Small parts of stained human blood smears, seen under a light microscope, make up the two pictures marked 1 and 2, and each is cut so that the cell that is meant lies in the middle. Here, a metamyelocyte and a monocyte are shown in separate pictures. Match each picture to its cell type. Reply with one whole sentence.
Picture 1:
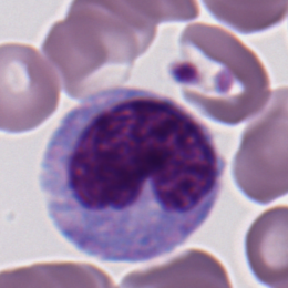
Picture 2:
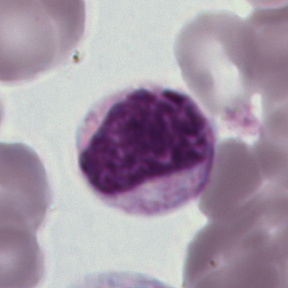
It is picture 1 that shows a monocyte, and picture 2 that shows a metamyelocyte.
